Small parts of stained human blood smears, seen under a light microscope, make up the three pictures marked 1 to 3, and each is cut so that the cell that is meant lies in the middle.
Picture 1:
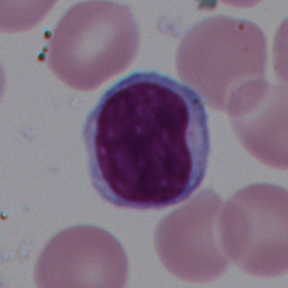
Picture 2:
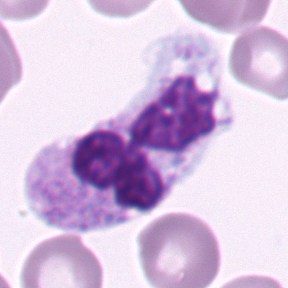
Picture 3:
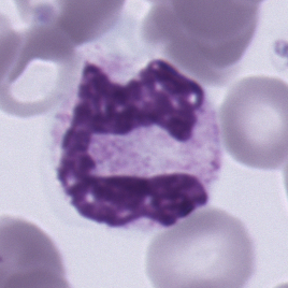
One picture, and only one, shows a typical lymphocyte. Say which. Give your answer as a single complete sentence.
The typical lymphocyte is the one in picture 1.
